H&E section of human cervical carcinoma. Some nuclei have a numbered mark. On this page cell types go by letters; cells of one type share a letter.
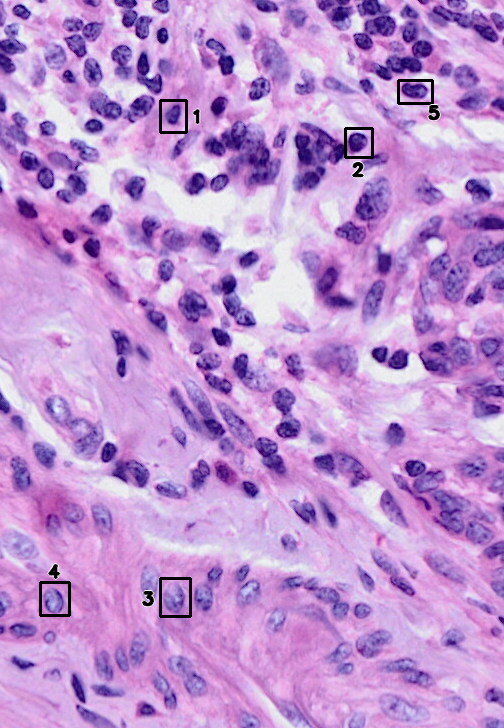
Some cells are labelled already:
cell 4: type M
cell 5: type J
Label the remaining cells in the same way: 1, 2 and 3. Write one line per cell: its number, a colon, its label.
1: type J
2: type J
3: type M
